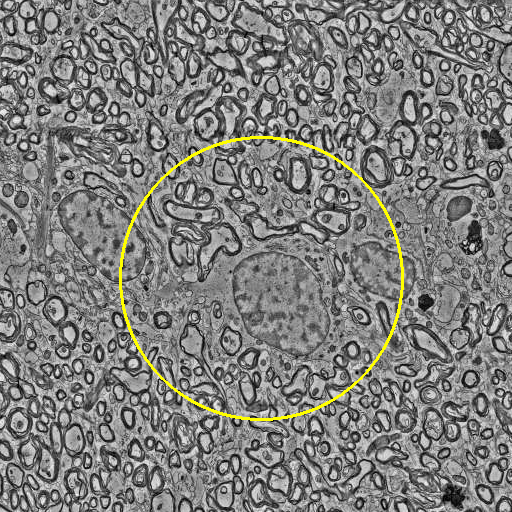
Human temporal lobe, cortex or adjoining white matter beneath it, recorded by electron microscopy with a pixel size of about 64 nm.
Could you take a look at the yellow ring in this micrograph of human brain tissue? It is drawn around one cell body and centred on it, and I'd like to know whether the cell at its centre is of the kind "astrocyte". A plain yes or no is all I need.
no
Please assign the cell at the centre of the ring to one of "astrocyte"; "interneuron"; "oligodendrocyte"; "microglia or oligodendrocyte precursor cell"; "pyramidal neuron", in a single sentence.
The cell that the ring is centred on is an oligodendrocyte.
